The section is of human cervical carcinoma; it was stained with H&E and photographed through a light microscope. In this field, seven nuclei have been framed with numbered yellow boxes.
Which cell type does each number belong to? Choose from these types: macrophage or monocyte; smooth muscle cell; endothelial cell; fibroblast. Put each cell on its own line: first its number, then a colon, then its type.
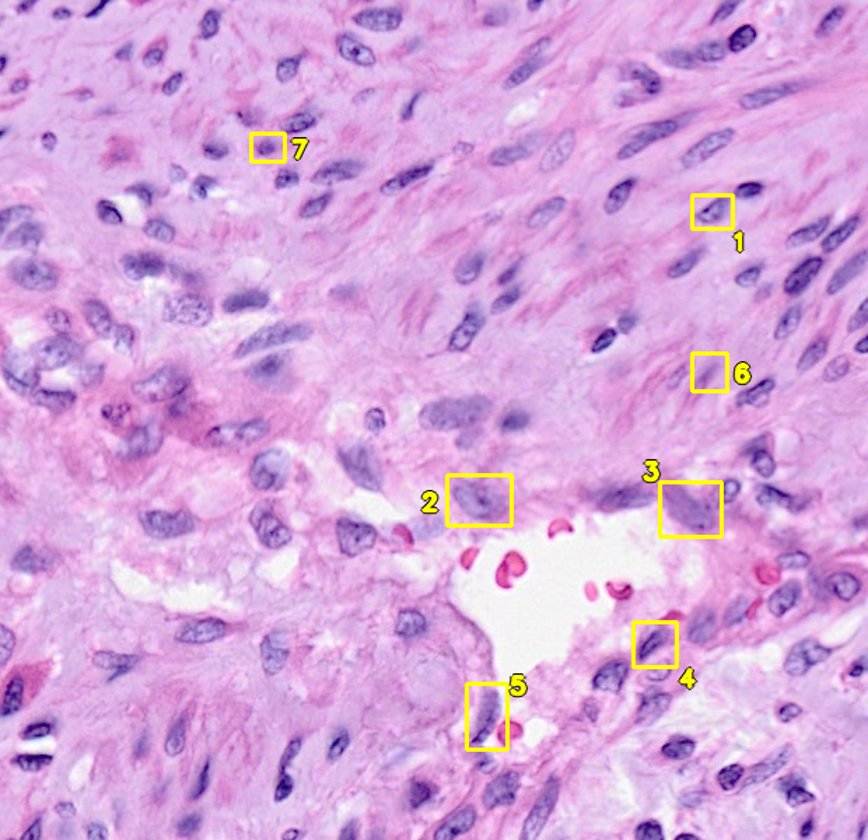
1: smooth muscle cell
2: endothelial cell
3: endothelial cell
4: endothelial cell
5: endothelial cell
6: smooth muscle cell
7: smooth muscle cell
